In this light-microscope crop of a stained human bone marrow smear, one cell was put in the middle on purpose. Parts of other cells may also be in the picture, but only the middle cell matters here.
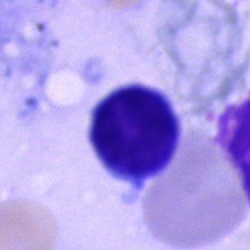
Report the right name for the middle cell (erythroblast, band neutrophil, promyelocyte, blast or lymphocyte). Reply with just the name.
lymphocyte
